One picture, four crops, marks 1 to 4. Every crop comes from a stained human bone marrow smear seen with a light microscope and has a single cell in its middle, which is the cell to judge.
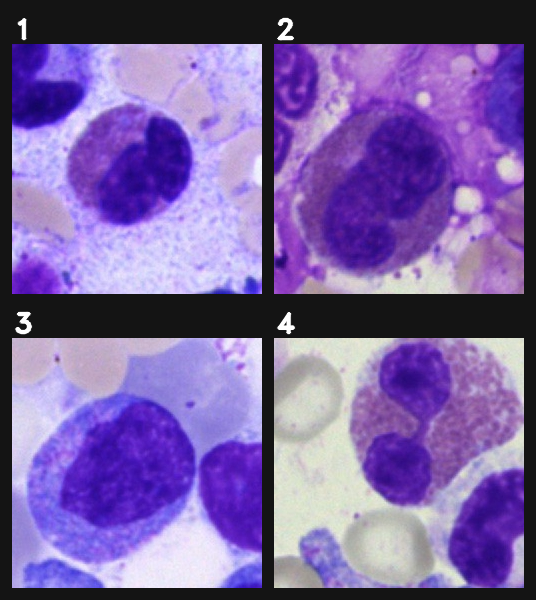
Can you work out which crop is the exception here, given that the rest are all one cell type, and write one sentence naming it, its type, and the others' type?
Crop 3 differs from the others in showing a promyelocyte; the rest all show eosinophils.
